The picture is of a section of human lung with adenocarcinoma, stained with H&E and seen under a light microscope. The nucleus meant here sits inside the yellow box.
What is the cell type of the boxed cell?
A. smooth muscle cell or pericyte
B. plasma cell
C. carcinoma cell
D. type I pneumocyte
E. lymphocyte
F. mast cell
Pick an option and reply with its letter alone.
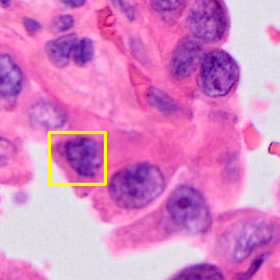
C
